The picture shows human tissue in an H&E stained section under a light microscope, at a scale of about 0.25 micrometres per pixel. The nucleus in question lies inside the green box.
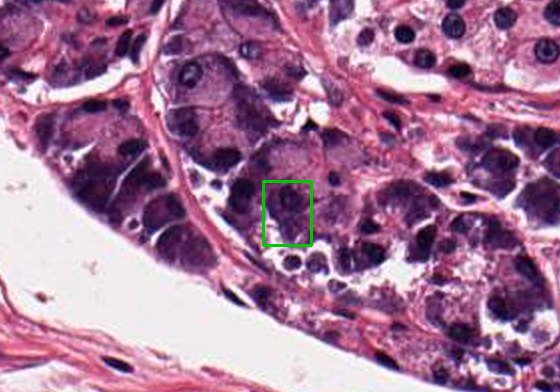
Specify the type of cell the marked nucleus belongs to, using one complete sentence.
Located in a pancreatic acinar cell is the marked nucleus.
